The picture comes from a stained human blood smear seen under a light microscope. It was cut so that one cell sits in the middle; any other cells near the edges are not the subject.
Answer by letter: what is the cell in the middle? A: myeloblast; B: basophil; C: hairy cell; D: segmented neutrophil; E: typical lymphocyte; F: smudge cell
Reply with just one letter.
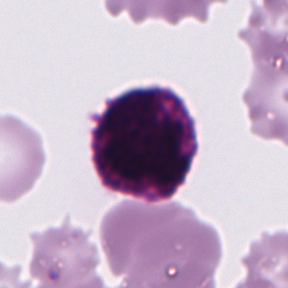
B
